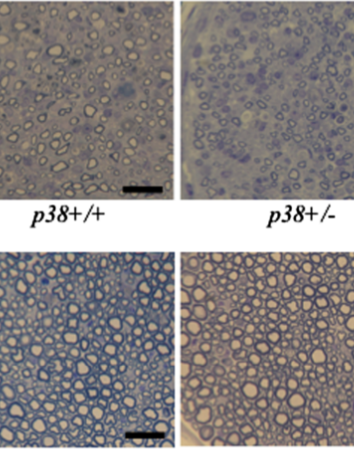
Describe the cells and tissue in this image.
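These are cross-sections of a peripheral nerve, and each round profile is a nerve fibre cut across. In every fibre the pale centre is the axon, and the dark blue ring around it is its myelin sheath. In the lower pair of images the fibres are large and crowded closely together, and many have wide pale axons with distinct blue rims. In the upper pair most fibres are much smaller, with narrow axons and thin rims.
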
